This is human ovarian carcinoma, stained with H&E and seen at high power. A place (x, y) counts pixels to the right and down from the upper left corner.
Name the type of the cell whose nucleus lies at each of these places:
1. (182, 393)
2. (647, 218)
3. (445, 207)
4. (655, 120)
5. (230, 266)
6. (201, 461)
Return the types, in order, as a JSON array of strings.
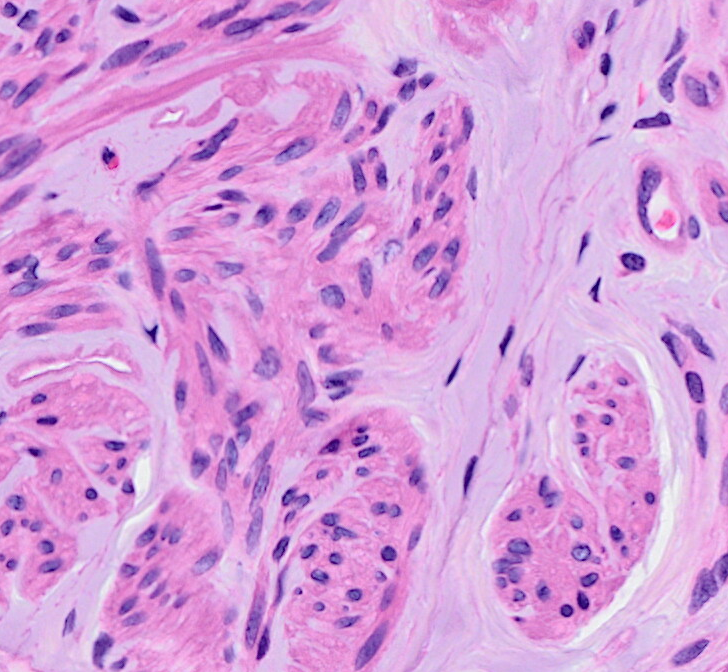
["smooth muscle cell", "endothelial cell", "smooth muscle cell", "fibroblast", "smooth muscle cell", "smooth muscle cell"]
